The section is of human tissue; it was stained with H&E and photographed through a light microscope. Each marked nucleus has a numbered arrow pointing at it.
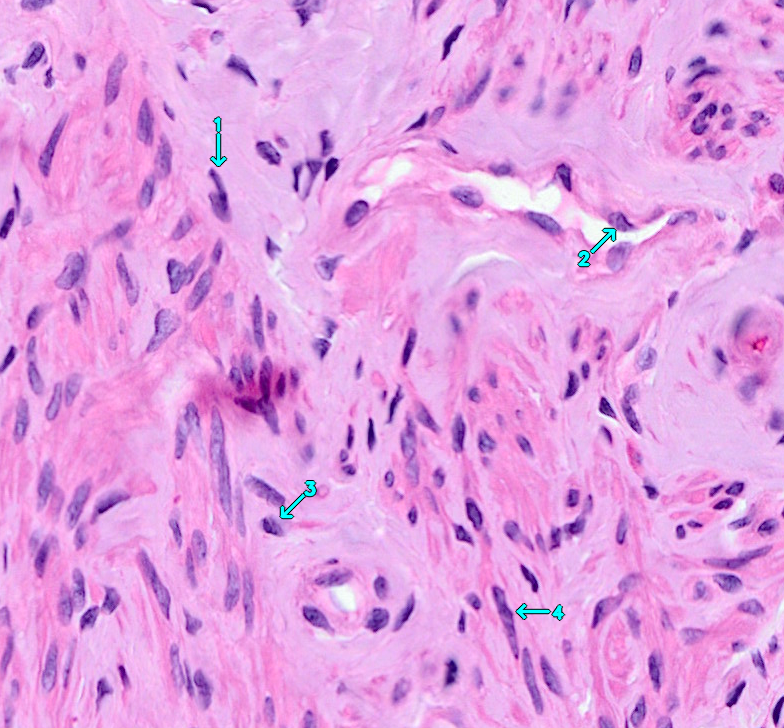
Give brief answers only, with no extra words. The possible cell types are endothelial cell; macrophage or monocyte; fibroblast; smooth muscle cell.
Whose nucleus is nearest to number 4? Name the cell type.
smooth muscle cell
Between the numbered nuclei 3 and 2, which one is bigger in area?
2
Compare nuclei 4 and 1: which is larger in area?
1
